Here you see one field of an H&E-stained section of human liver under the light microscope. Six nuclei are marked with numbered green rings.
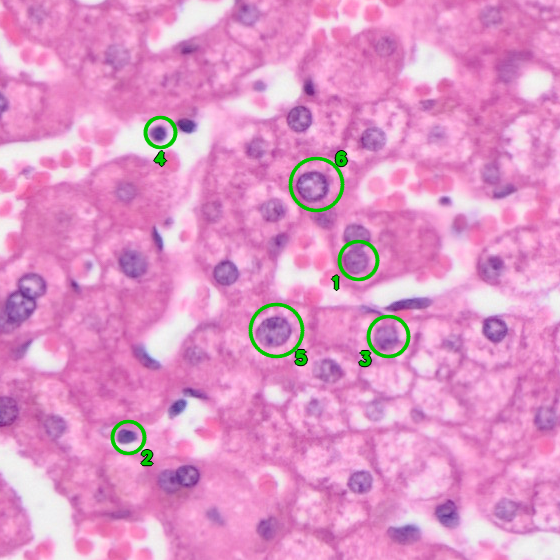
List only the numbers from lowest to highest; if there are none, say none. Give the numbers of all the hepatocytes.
1, 3, 5, 6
